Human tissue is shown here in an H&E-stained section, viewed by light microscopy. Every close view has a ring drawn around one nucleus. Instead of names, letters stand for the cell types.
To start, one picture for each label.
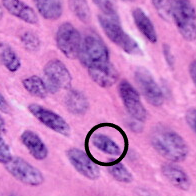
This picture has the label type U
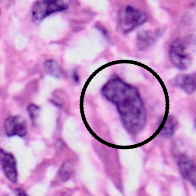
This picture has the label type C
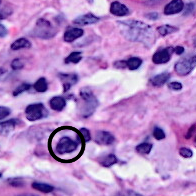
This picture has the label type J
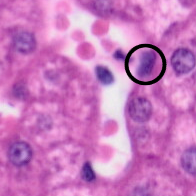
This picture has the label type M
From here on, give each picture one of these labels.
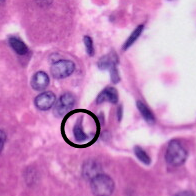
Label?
type M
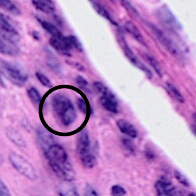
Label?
type U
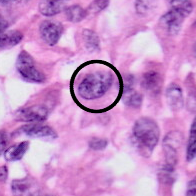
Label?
type C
